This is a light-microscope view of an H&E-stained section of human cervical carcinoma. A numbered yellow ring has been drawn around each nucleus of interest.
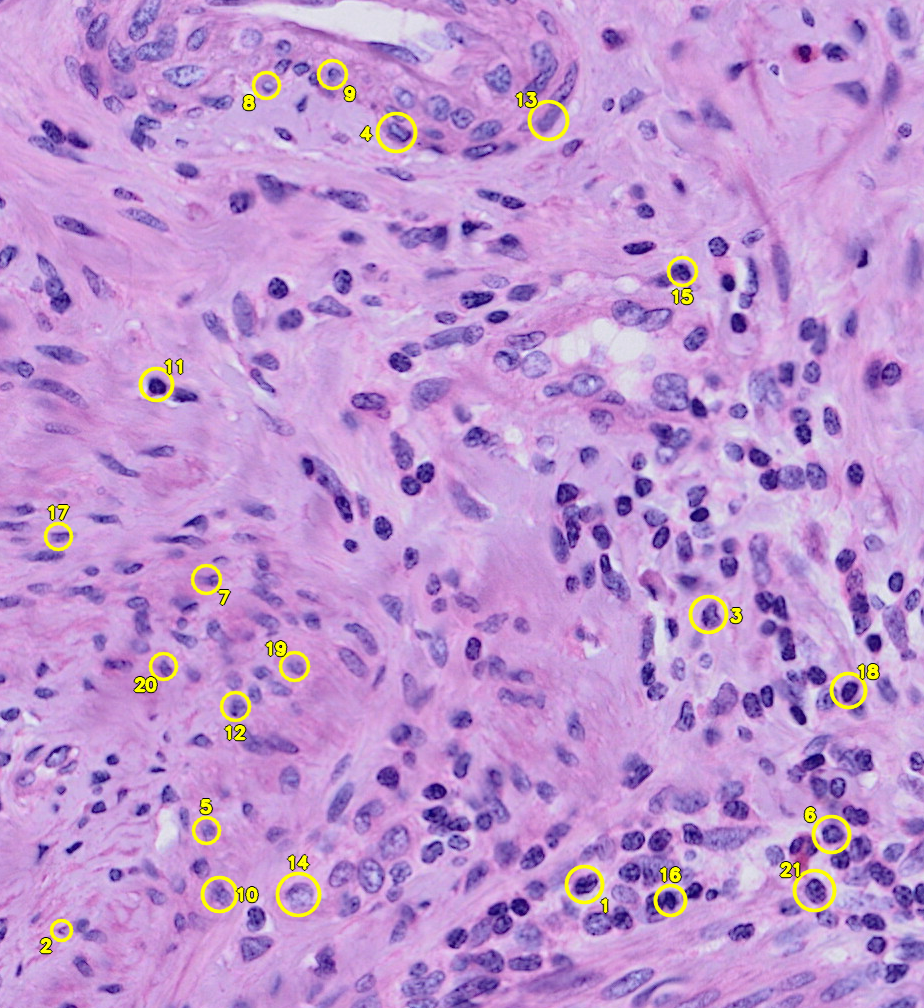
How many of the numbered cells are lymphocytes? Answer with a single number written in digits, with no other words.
8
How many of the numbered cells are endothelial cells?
1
